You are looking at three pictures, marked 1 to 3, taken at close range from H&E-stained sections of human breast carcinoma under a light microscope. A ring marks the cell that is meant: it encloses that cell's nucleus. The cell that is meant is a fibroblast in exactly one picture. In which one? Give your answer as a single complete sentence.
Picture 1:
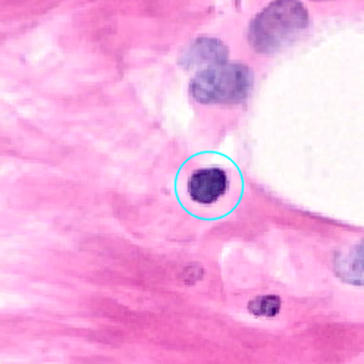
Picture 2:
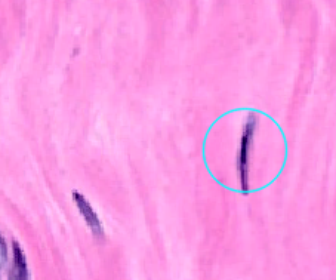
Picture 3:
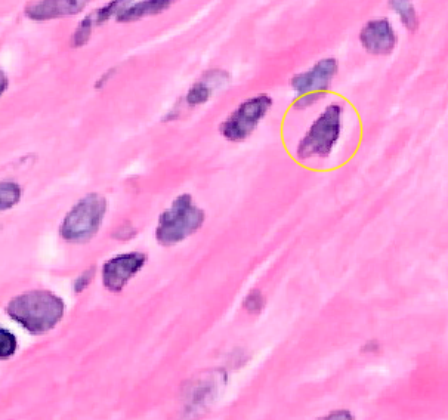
It is picture 2 that shows the fibroblast.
